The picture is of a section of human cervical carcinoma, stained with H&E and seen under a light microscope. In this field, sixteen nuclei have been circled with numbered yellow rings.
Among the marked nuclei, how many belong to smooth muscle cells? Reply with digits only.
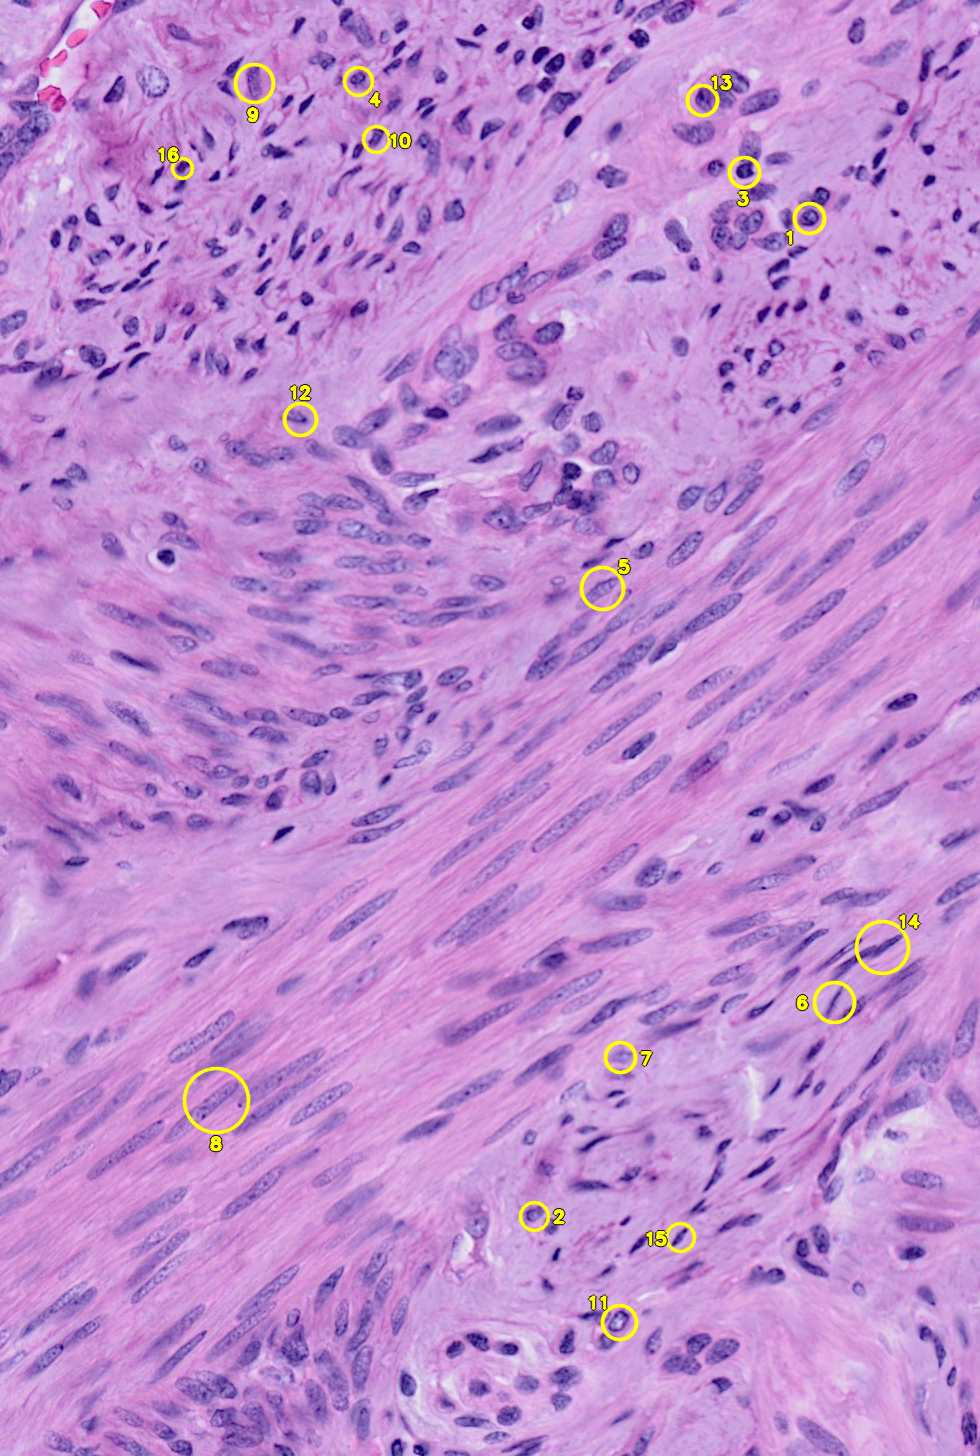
9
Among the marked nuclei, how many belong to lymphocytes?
1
